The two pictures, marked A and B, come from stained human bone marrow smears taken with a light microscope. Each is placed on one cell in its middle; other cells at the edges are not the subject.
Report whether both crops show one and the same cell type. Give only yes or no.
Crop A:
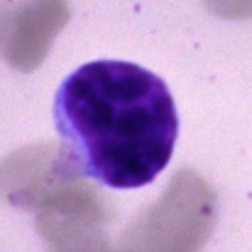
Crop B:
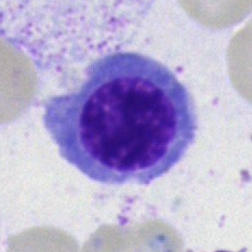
no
